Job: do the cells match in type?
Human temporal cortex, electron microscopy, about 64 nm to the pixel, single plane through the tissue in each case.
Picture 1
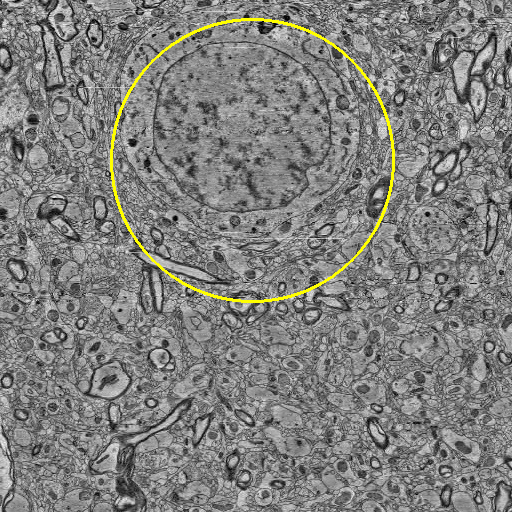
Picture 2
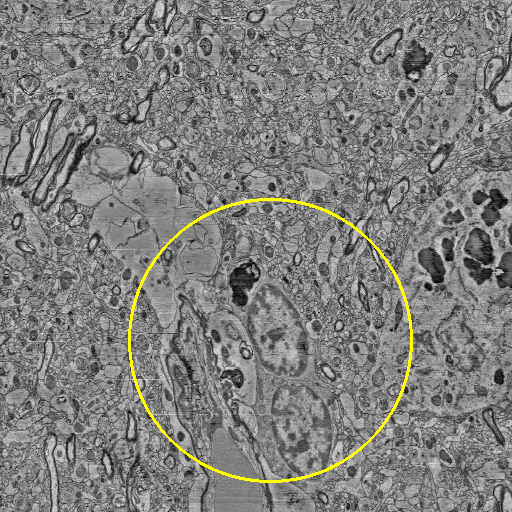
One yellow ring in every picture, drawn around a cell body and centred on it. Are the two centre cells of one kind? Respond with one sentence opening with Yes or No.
No, the ringed cells in the two pictures are of two separate kinds.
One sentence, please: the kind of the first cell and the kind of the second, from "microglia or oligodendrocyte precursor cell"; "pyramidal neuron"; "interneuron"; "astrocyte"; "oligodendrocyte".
The ring in the first picture surrounds a pyramidal neuron, and the ring in the second surrounds an oligodendrocyte.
